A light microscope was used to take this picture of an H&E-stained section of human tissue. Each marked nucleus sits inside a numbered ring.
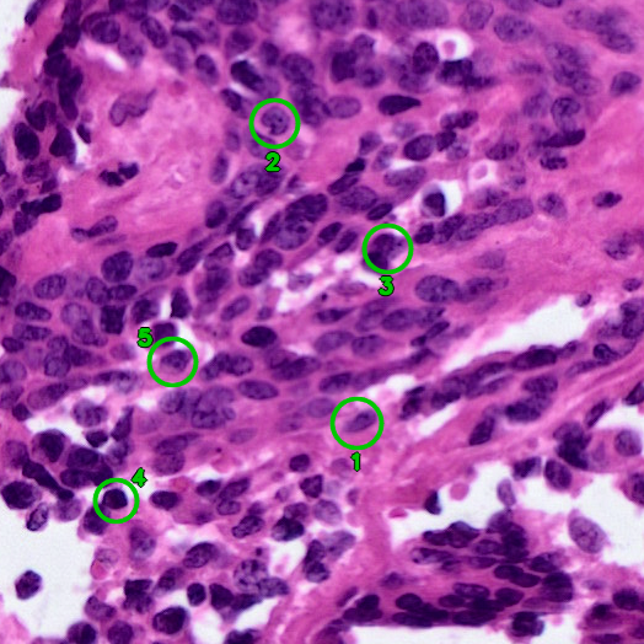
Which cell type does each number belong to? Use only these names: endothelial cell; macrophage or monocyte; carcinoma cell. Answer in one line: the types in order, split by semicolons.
macrophage or monocyte; macrophage or monocyte; carcinoma cell; carcinoma cell; macrophage or monocyte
